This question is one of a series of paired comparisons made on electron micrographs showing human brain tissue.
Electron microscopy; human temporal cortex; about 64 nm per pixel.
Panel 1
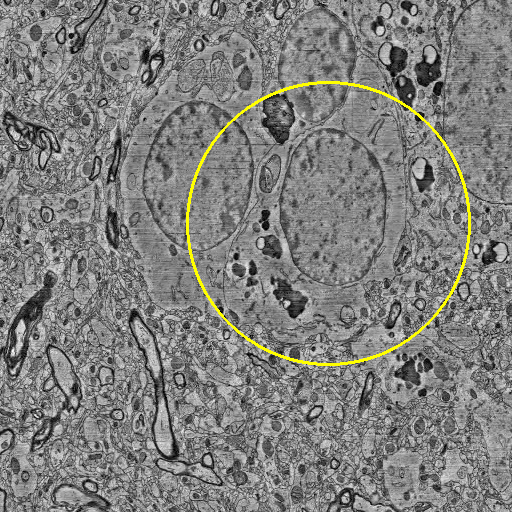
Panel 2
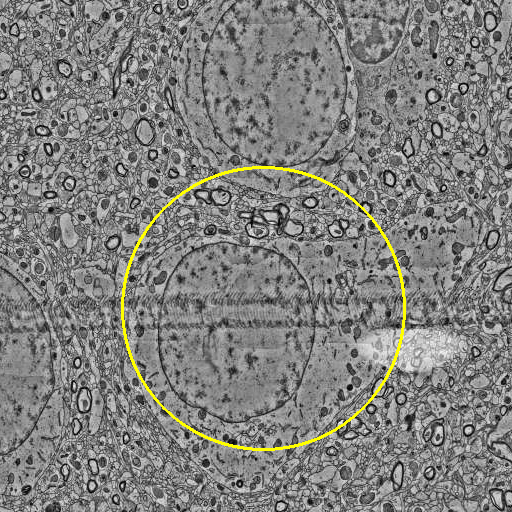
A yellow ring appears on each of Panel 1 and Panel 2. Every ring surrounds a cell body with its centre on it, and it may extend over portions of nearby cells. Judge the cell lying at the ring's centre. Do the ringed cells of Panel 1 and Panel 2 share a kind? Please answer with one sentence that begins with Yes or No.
No, the ring-centre cell in Panel 1 and the one in Panel 2 are of two kinds.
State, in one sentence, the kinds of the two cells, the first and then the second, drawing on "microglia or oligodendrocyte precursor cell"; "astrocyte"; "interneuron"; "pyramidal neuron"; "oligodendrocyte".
The ring in the second picture is centred on a pyramidal neuron, the ring in the first on an astrocyte.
